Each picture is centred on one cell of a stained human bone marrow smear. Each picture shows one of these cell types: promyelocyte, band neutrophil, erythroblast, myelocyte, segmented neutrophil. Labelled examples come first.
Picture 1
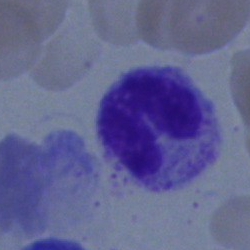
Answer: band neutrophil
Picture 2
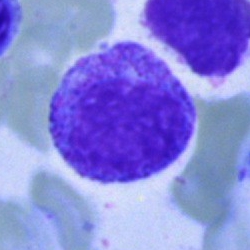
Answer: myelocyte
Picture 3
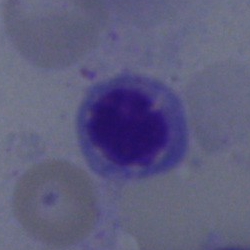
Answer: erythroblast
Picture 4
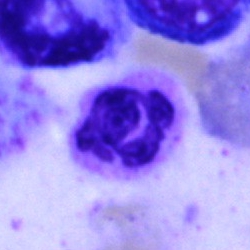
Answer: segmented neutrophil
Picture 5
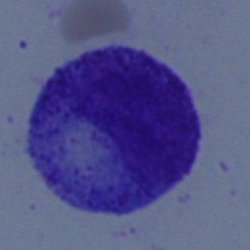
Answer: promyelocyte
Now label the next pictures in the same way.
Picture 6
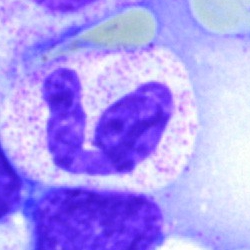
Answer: segmented neutrophil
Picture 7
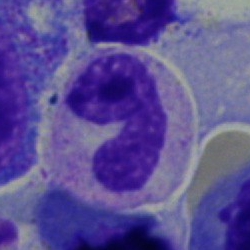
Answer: band neutrophil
